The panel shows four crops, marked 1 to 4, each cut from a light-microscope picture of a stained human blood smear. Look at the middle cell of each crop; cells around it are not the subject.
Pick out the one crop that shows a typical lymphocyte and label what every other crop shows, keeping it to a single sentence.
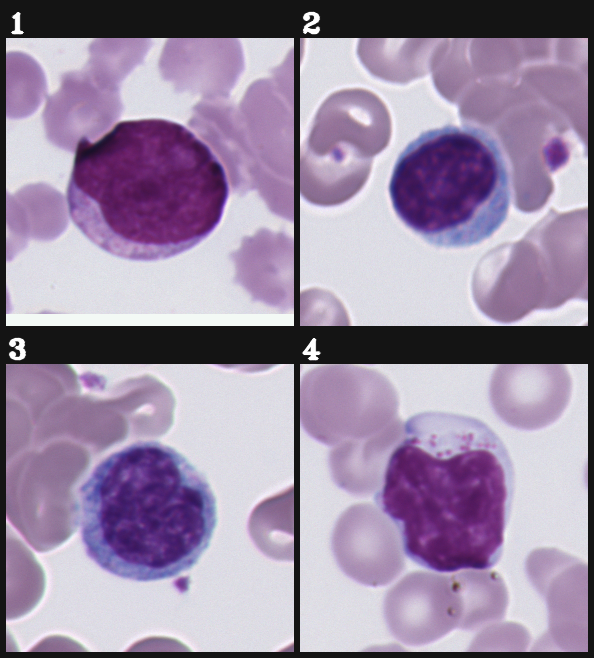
Whereas crop 1 is a myeloblast, crop 3 is a monocyte and crop 4 is a large granular lymphocyte, the cell at the centre of crop 2 is a typical lymphocyte.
